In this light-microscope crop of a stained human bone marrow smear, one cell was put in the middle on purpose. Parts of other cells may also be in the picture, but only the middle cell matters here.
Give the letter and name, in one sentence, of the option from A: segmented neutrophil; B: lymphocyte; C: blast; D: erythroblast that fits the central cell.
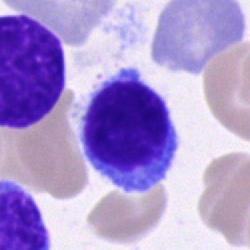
The correct option, B, names the middle cell as a lymphocyte.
